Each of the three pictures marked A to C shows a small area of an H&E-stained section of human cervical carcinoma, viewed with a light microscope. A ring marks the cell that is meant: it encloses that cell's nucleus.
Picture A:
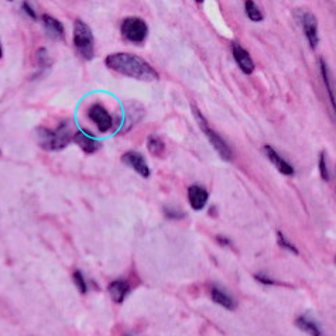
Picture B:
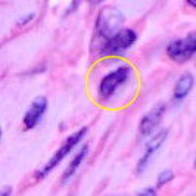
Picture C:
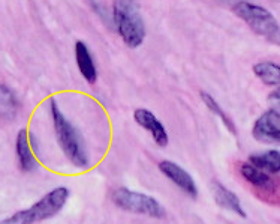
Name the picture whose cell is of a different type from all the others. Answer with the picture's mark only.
C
